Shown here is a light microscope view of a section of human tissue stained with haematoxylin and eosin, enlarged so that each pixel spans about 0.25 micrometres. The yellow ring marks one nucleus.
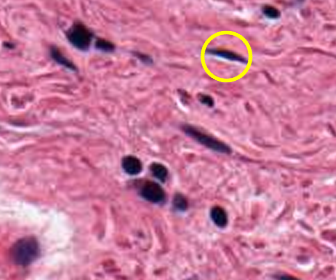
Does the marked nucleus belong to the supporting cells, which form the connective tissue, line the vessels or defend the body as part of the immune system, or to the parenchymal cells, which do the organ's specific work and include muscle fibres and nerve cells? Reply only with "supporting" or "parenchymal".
supporting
